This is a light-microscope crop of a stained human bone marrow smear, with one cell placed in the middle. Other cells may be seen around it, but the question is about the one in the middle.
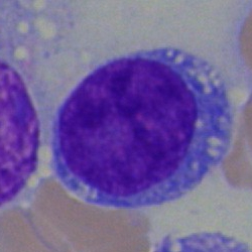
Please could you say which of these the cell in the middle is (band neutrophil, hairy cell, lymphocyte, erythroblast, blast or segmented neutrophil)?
blast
